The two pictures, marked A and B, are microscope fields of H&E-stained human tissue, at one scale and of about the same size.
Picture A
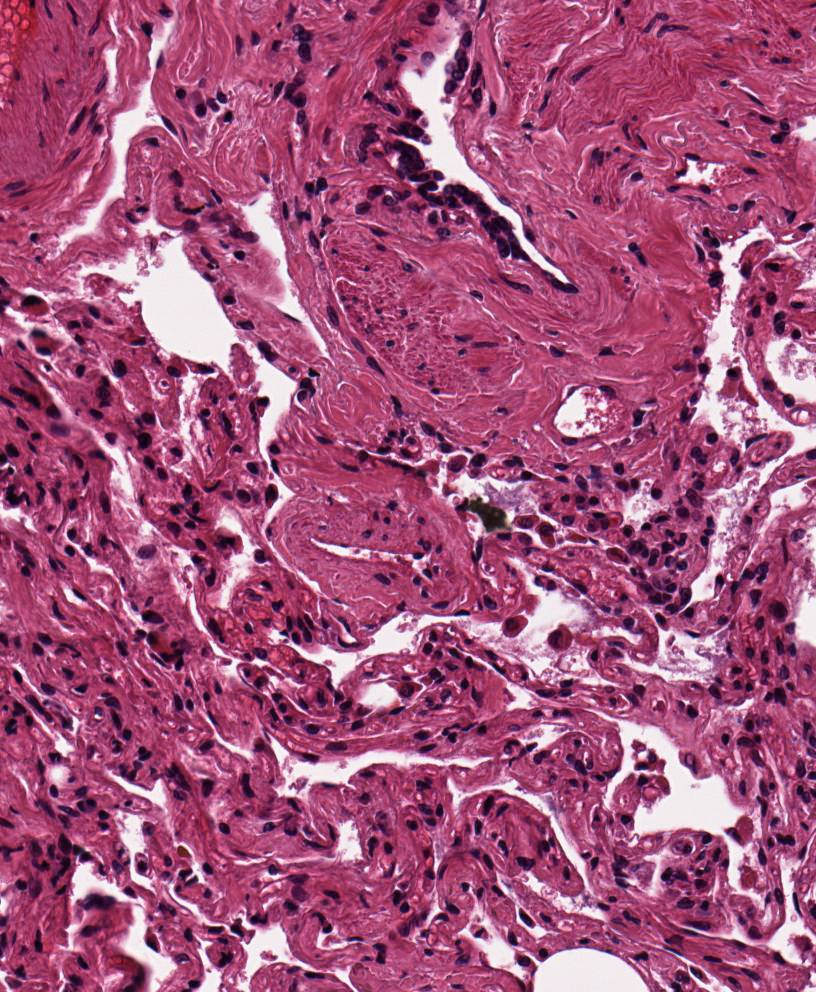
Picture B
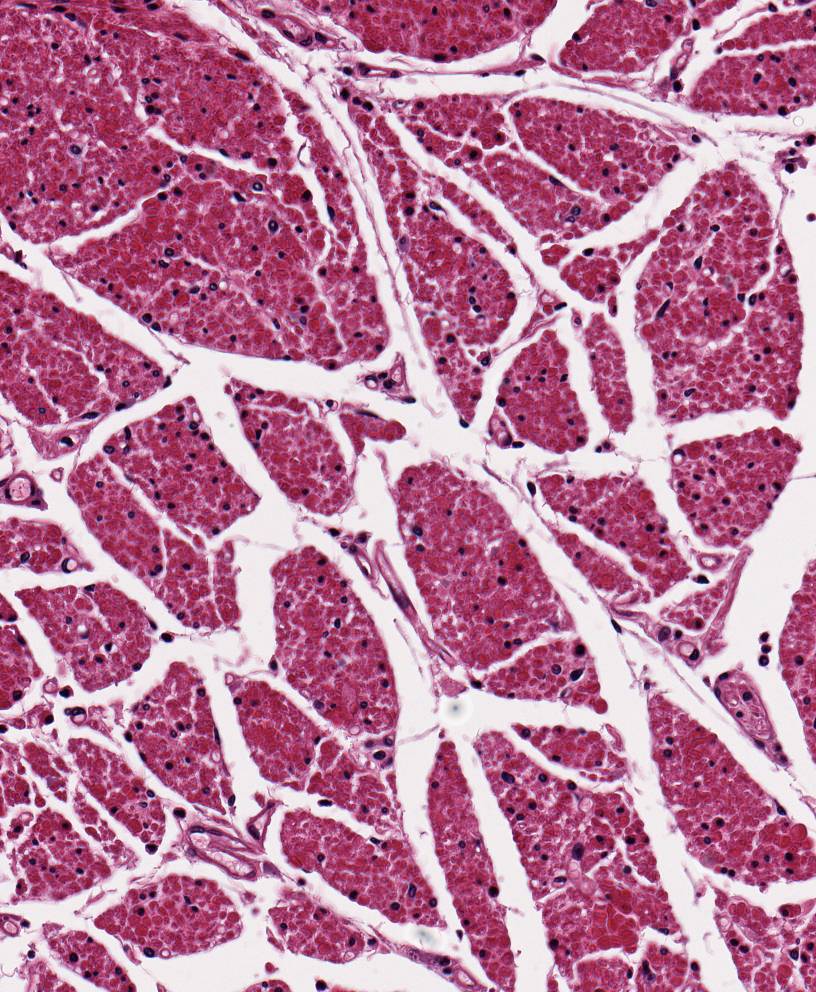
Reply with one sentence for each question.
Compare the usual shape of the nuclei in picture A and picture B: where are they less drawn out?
Rounder nuclei lie in picture B.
